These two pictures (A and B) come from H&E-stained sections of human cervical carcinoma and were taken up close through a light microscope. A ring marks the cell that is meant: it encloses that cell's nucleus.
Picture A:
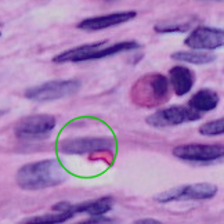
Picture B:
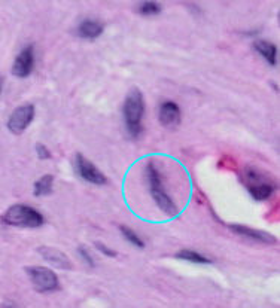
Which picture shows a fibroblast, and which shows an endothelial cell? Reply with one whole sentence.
In picture A the cell is an endothelial cell; in picture B, a fibroblast.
